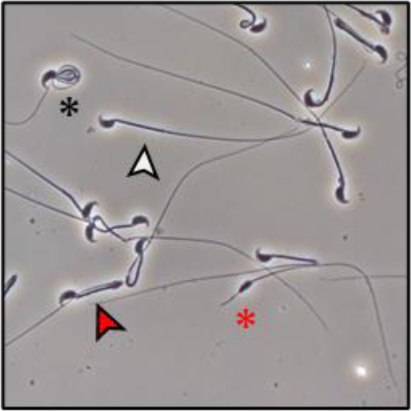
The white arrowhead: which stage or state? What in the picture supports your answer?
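A hook-shaped head with a tail running out in a straight line above the arrowhead. That points to this answer: straight spermatozoa.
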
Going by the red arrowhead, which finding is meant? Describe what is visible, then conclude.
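Bent spermatozoa. Near the arrowhead, tails fold sharply back close to the heads.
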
